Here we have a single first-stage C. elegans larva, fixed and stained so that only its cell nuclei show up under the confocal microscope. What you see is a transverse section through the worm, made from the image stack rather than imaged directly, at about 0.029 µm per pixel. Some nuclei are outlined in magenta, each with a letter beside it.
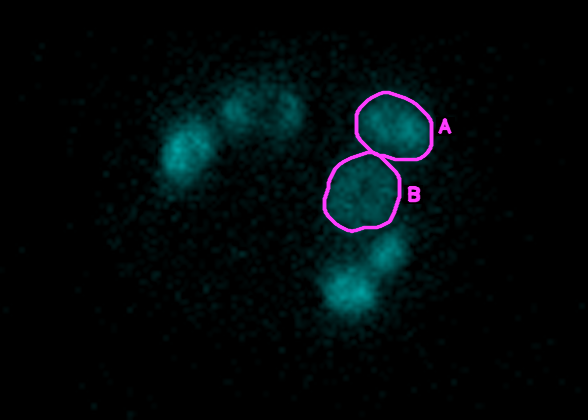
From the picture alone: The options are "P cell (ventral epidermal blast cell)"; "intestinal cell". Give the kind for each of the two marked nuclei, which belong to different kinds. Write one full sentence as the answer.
A is from a P cell (ventral epidermal blast cell), and B is from an intestinal cell.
